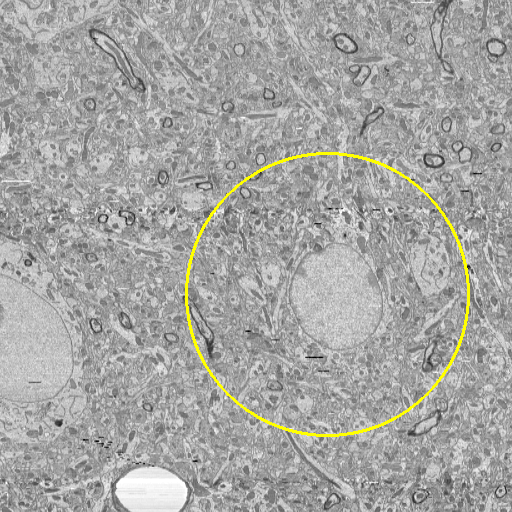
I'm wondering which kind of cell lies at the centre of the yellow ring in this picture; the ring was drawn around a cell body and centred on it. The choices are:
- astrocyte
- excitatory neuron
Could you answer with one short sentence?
At the centre of the ring lies an astrocyte.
